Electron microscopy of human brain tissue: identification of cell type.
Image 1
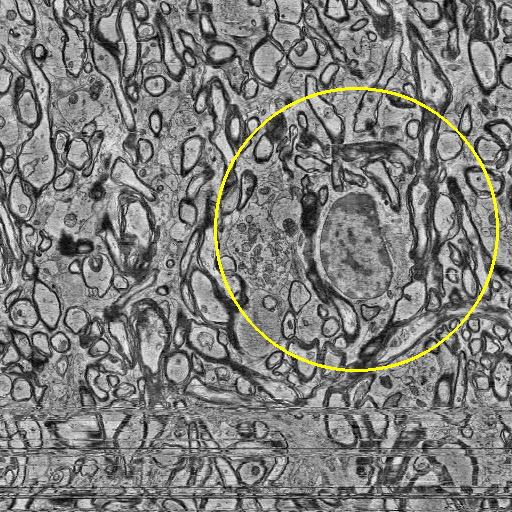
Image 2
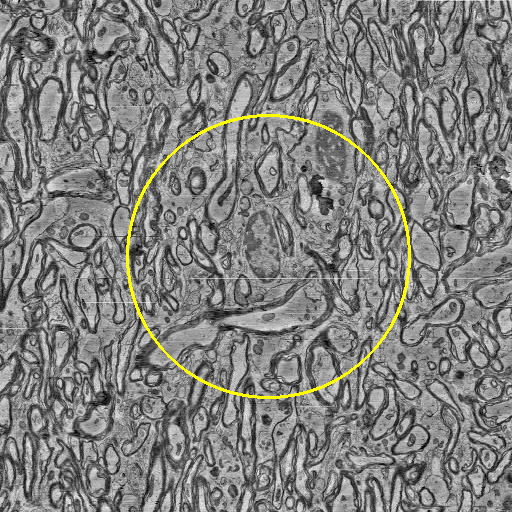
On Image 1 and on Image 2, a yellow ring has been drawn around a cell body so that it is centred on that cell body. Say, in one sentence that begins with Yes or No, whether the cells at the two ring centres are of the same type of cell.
Yes, both cells are the same type of cell.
